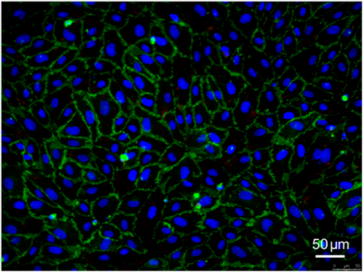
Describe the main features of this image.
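This is a confluent monolayer of endothelial cells in a cobblestone arrangement. Each cell is polygonal to slightly elongated and is outlined by a thin green line along its borders where it meets its neighbours. The nuclei are blue and oval, one to a cell, and evenly spaced across the field. A few bright green dots lie scattered among the cells, while red staining is essentially absent.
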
